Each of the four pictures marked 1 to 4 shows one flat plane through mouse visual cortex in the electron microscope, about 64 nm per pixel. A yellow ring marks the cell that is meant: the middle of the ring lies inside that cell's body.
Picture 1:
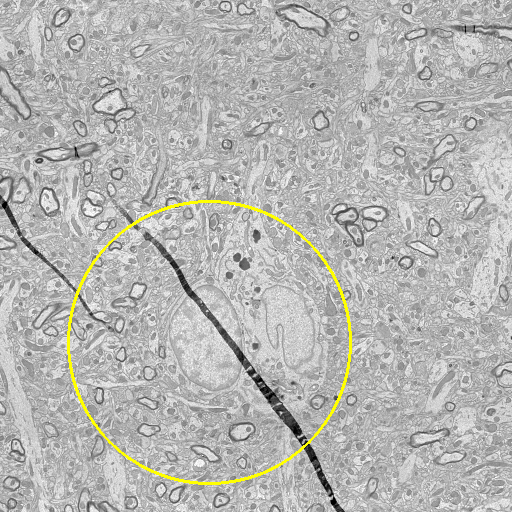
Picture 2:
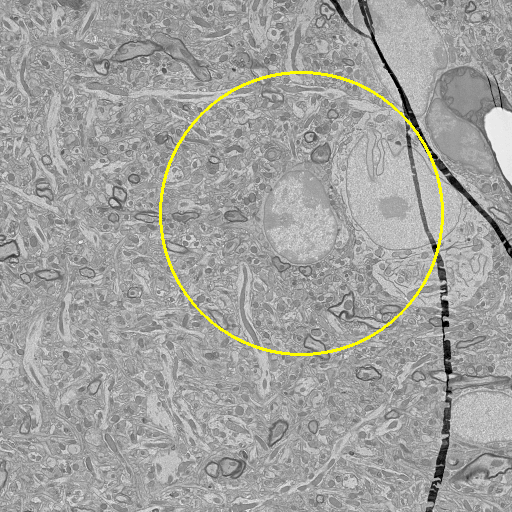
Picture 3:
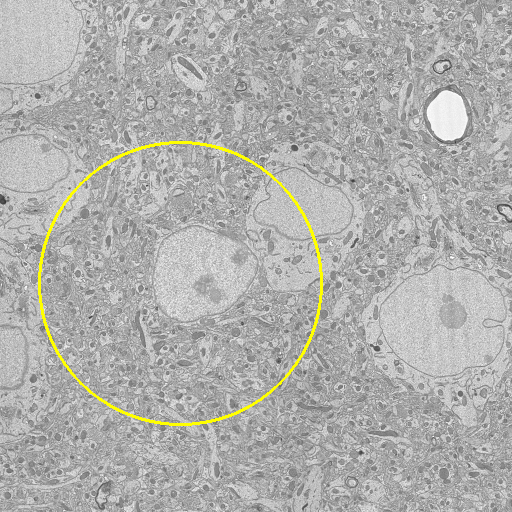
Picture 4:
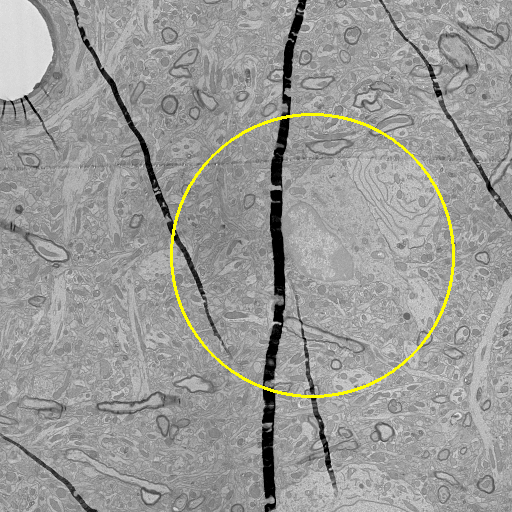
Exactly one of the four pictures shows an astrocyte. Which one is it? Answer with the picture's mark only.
3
